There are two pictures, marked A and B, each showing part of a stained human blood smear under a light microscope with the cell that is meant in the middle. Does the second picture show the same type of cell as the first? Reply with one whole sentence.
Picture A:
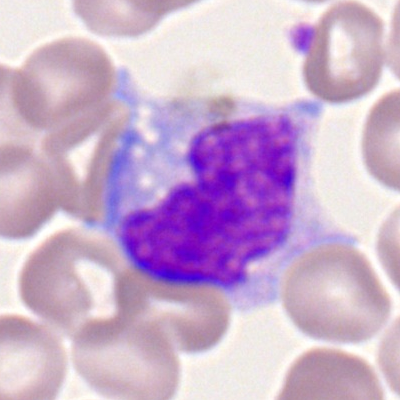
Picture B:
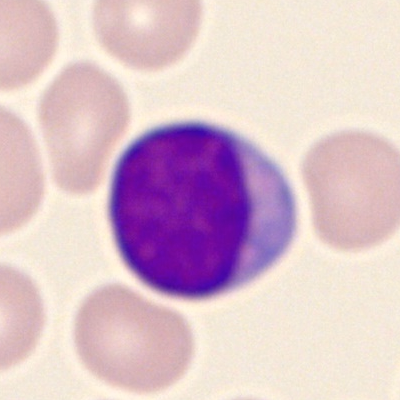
No; the cell in picture A is a monocyte, while the one in picture B is a myeloblast.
